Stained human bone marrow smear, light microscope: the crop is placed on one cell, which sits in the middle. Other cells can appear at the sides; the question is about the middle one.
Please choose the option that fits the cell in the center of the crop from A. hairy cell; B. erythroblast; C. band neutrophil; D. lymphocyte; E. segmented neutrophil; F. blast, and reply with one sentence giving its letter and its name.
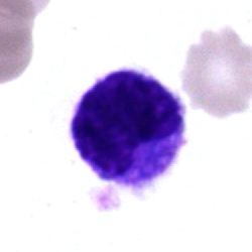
The central cell, a lymphocyte, is correctly identified by option D.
